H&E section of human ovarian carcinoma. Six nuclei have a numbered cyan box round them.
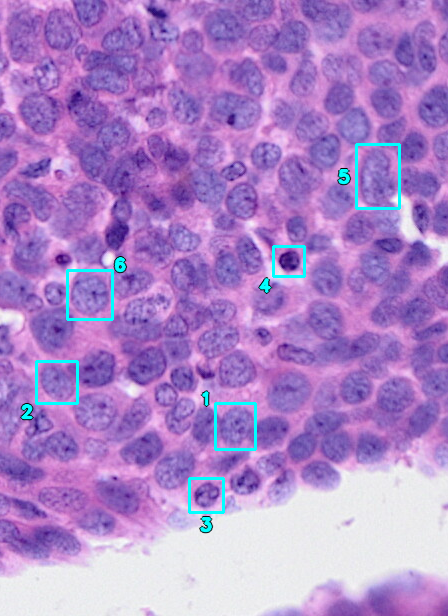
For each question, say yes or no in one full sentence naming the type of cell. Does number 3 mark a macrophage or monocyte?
Yes, the numbered cell 3 is identified as a macrophage or monocyte.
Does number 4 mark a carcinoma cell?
No, cell 4 is not a carcinoma cell; a lymphocyte is the correct identification.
